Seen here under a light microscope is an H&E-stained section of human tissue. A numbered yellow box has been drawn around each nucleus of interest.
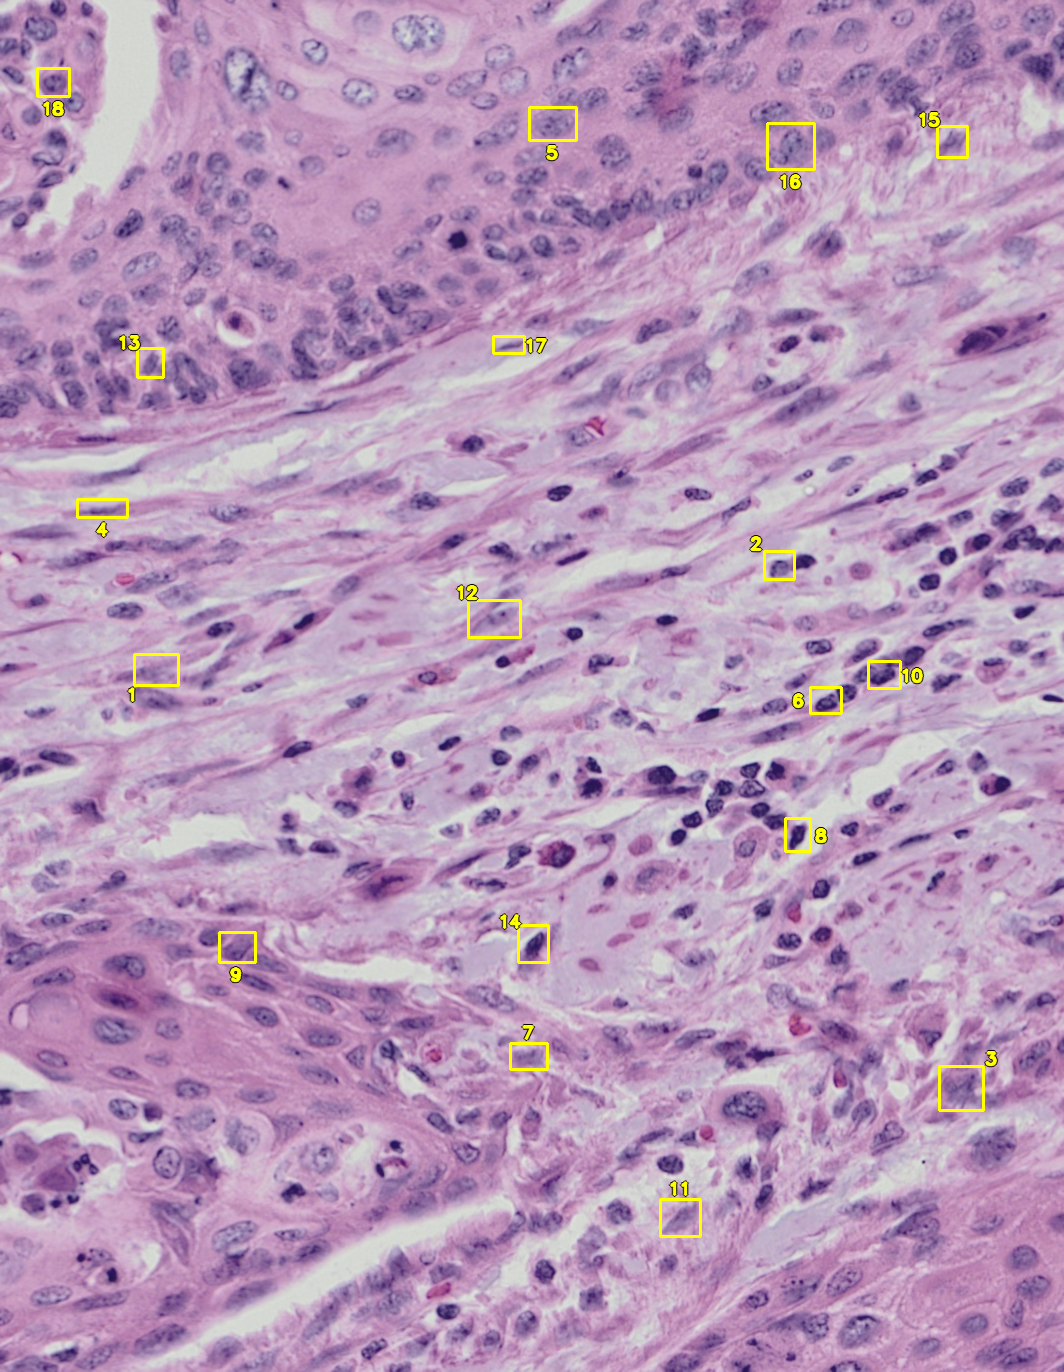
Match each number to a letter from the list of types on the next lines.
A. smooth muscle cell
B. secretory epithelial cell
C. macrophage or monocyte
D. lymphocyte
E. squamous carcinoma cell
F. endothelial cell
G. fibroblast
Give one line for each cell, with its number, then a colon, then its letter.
1: G
2: D
3: G
4: G
5: E
6: D
7: G
8: D
9: E
10: D
11: G
12: G
13: E
14: D
15: G
16: E
17: G
18: E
